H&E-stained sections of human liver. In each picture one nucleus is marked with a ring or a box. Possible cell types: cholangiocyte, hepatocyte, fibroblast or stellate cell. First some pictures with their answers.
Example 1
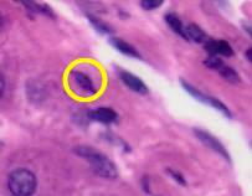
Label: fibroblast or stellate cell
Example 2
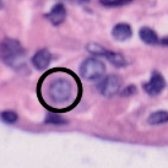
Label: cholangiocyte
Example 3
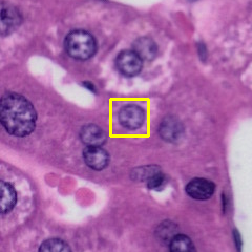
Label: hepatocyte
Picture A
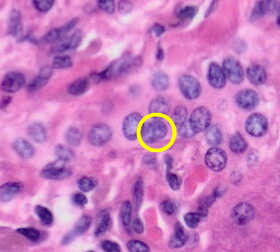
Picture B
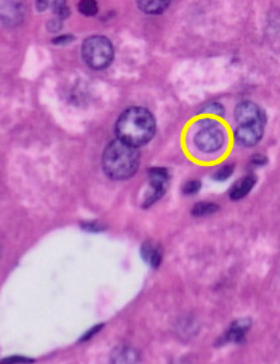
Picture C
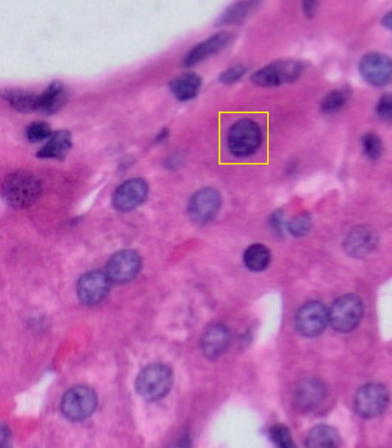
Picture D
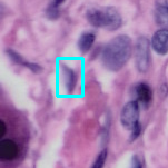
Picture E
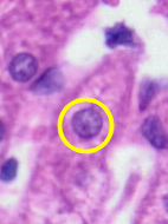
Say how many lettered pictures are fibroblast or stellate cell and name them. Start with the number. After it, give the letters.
Count: 1 (D)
